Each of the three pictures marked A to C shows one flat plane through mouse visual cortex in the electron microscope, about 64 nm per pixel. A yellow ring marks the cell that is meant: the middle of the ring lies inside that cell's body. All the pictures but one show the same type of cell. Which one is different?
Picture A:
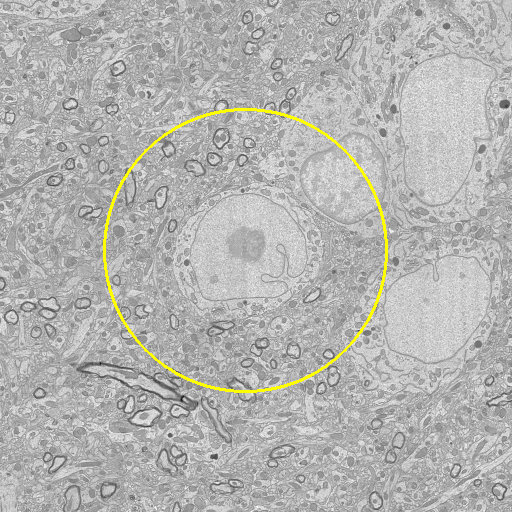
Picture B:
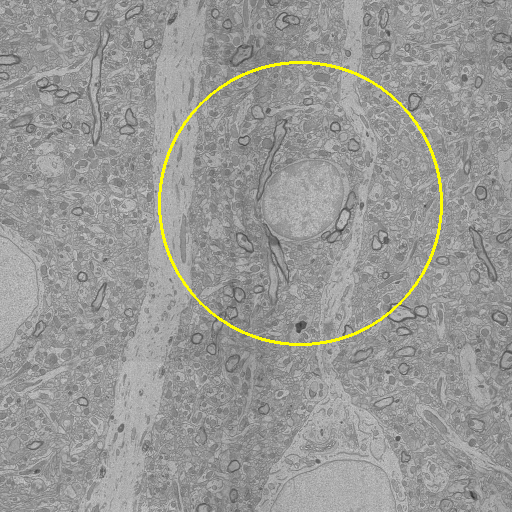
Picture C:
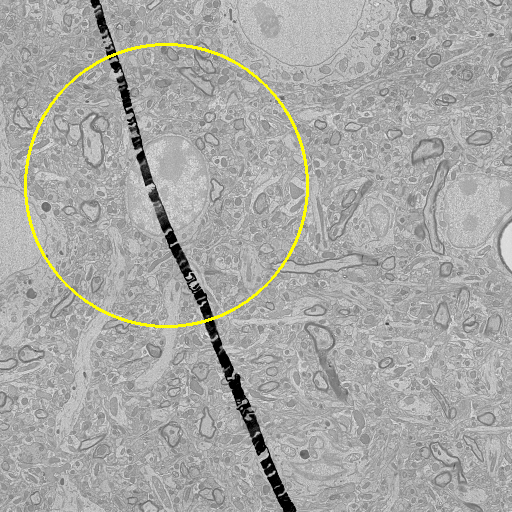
Picture A is the odd one out: it shows an inhibitory neuron, while the others show oligodendrocytes.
